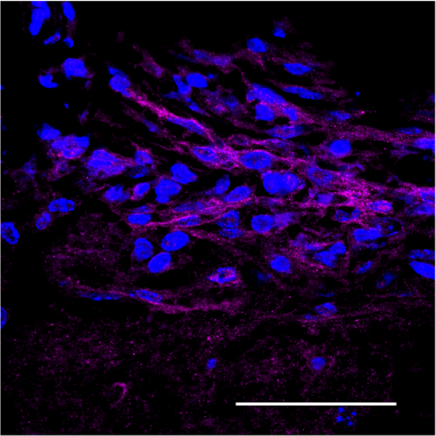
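Many oval nuclei are closely packed in a broad band across the upper and middle part of the field. Magenta outlines elongated, thicker cell bodies and processes that wrap between and around these nuclei, many of them running obliquely in a common direction. The lower part of the field and the upper right corner are darker, with few nuclei and only faint magenta.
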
